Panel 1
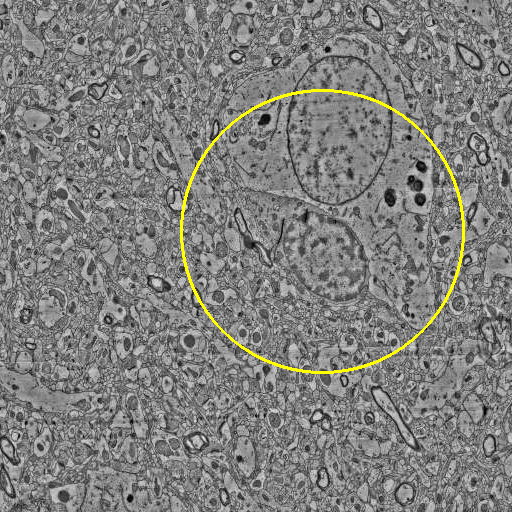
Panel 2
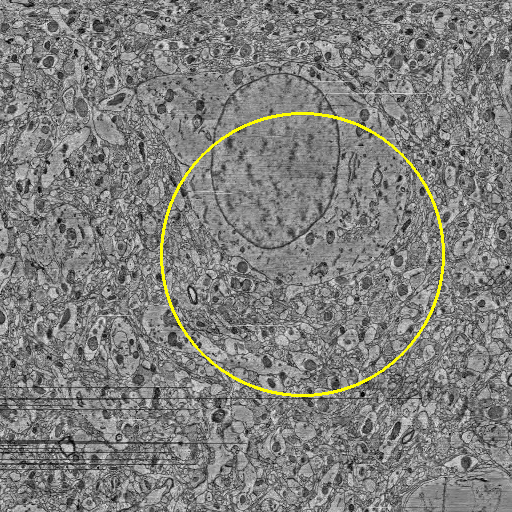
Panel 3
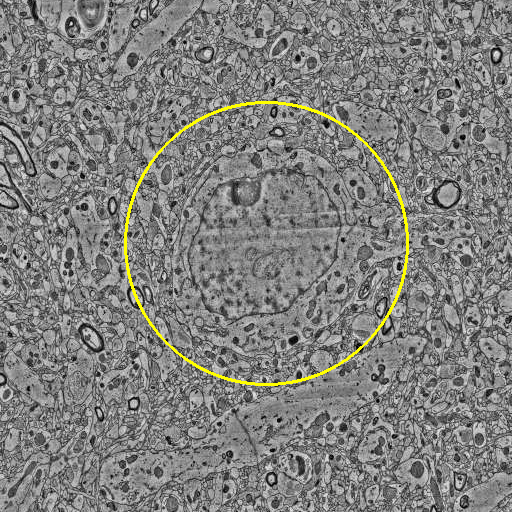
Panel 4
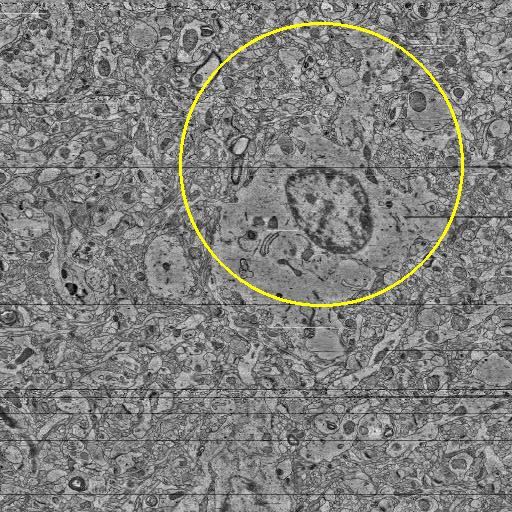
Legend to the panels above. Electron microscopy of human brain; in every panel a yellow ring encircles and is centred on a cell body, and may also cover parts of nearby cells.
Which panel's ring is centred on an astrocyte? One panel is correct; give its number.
4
